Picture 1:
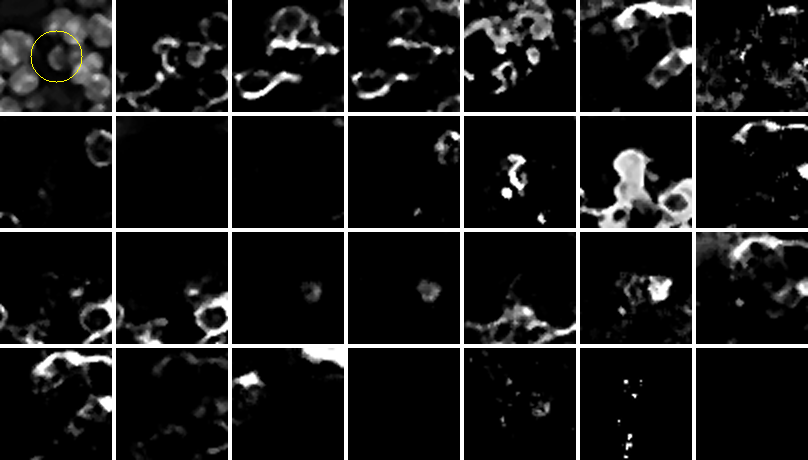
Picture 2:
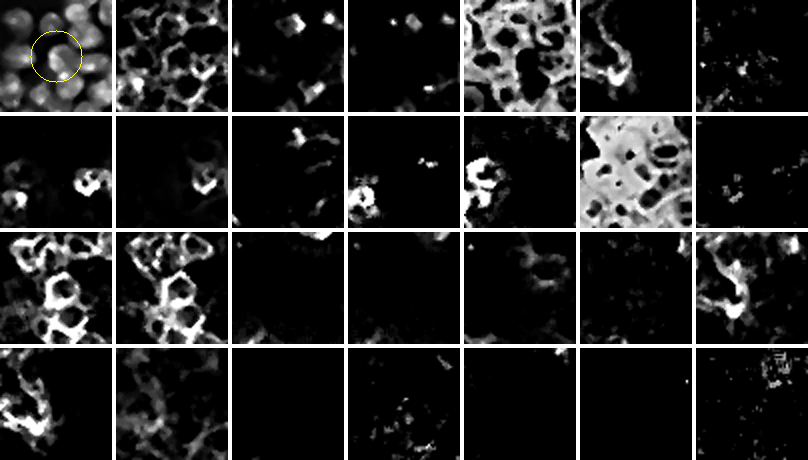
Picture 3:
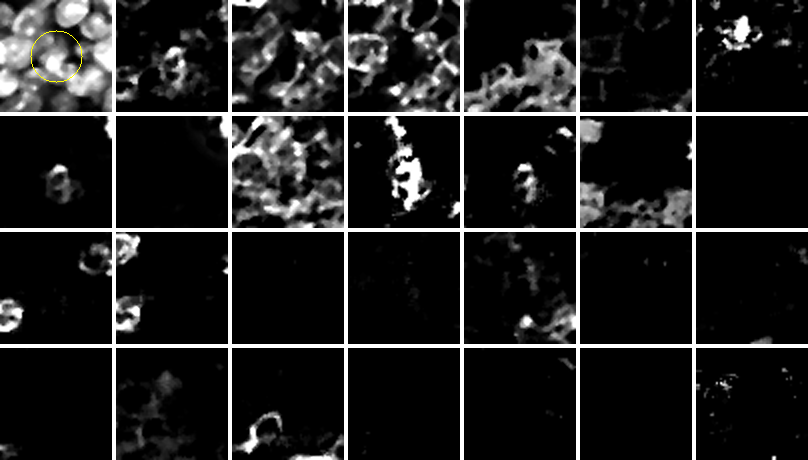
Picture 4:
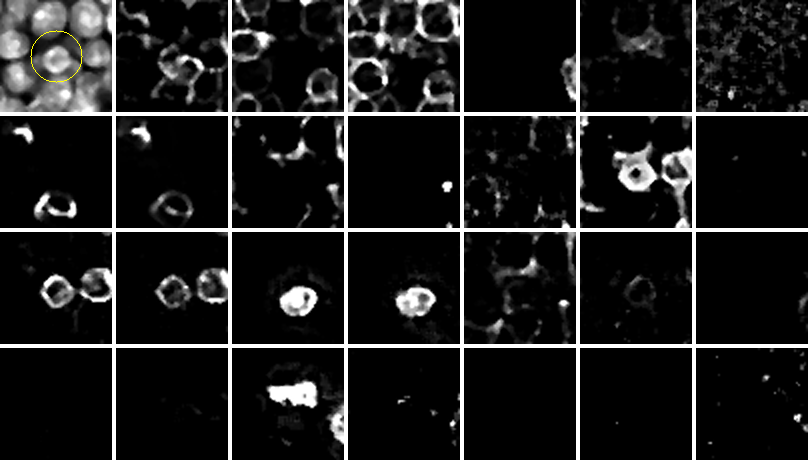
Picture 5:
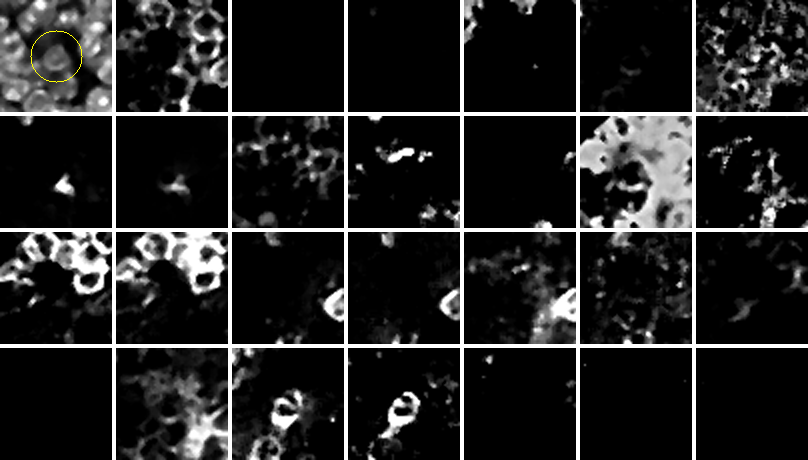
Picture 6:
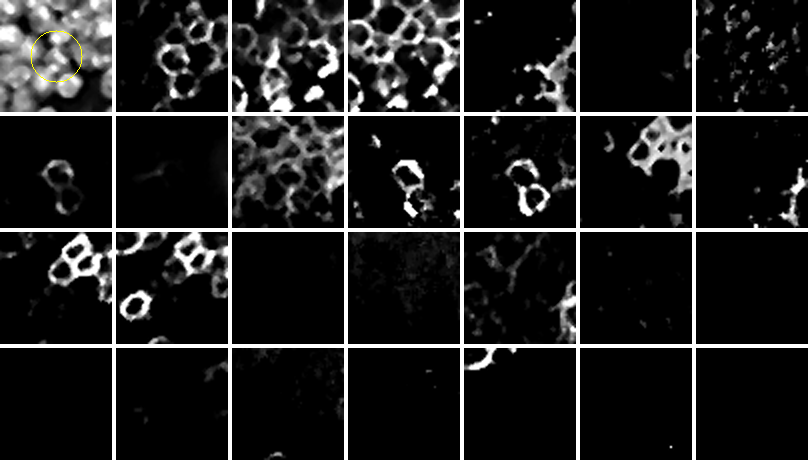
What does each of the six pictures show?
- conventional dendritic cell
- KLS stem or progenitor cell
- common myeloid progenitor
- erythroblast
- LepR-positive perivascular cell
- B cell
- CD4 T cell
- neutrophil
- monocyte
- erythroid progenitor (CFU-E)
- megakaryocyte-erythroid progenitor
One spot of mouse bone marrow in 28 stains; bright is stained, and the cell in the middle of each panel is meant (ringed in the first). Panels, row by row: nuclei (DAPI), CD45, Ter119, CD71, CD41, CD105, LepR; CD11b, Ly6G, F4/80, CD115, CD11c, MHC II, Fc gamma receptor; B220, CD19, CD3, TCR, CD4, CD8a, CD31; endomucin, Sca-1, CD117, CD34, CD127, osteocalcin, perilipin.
(1) conventional dendritic cell
(2) B cell
(3) monocyte
(4) erythroid progenitor (CFU-E)
(5) common myeloid progenitor
(6) monocyte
